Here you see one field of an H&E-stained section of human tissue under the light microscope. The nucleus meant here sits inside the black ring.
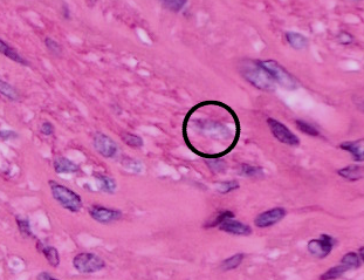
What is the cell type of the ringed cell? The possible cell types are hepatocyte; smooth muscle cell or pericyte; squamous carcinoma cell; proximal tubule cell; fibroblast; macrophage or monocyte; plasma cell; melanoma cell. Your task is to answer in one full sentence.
For cell typing purposes, the ringed cell is a smooth muscle cell or pericyte.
